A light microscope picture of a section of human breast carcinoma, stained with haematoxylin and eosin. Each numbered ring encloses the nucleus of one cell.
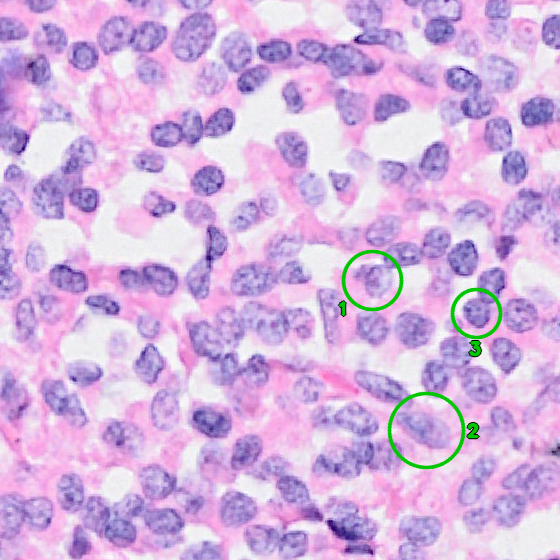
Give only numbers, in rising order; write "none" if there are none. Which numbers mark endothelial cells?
2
